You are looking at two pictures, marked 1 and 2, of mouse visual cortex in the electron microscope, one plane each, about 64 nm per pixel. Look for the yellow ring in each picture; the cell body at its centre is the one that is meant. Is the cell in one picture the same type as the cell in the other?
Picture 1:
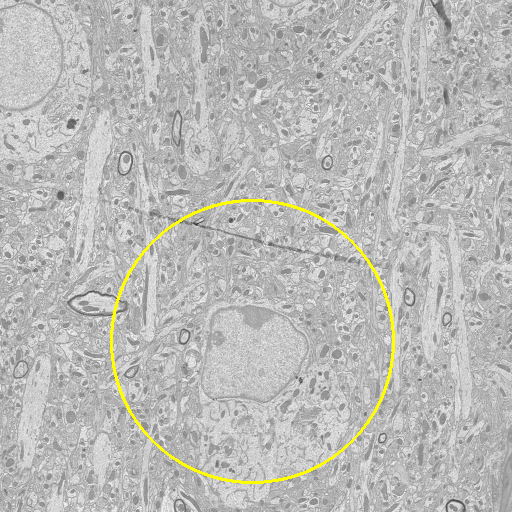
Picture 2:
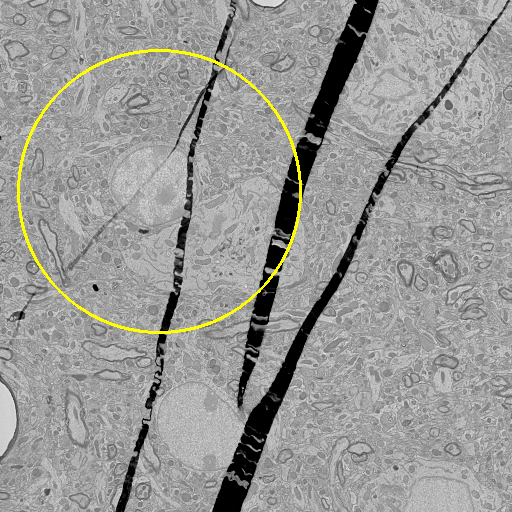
No, they differ: the cell is an oligodendrocyte precursor cell in picture 1 and an oligodendrocyte in picture 2.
